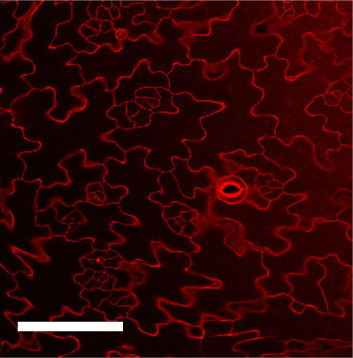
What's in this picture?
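Leaf epidermis with red-outlined wavy pavement cells, in which stomata are almost absent, with only one pair of guard cells around a pore visible. Scattered among the pavement cells are several patches of small, irregular cells with thin walls that do not form pores.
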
